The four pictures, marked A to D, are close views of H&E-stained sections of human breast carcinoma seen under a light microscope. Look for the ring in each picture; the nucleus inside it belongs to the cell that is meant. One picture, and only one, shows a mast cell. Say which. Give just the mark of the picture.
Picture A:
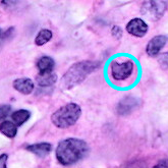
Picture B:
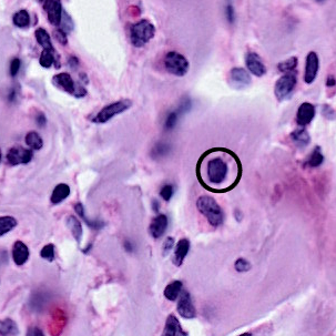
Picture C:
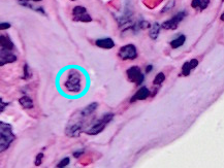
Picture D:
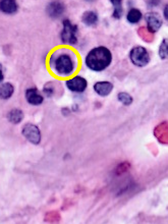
C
